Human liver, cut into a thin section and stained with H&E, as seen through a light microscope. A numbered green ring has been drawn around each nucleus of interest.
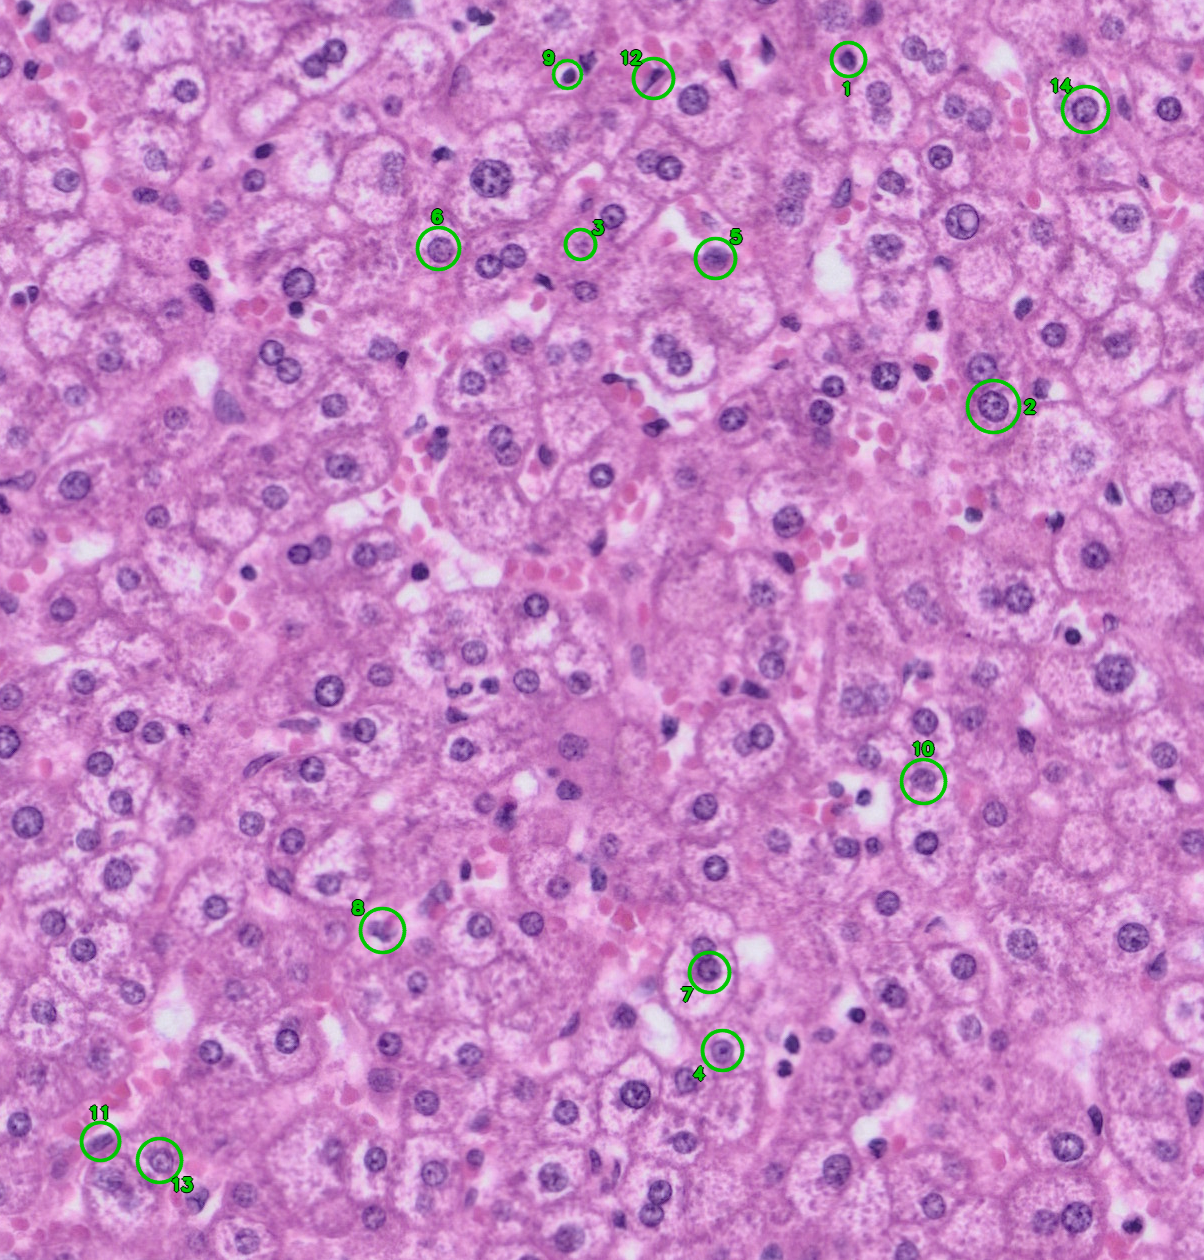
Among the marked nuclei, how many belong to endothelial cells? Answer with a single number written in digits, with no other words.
4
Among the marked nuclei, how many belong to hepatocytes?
8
